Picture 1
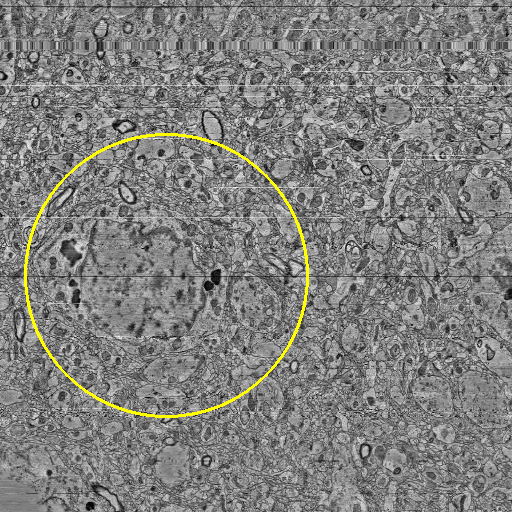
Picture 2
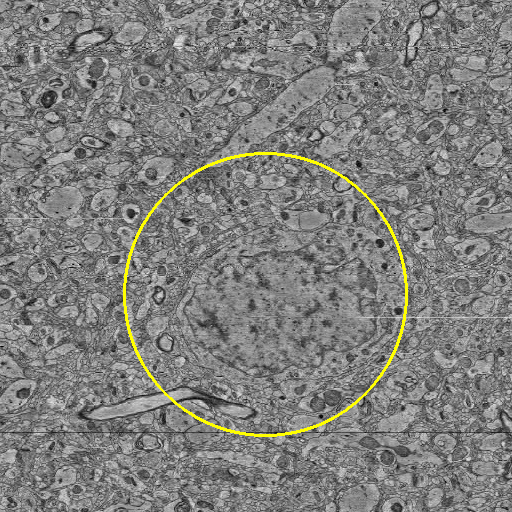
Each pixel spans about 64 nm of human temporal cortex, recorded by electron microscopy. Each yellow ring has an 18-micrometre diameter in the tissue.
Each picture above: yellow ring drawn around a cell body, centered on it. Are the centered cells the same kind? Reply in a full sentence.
Yes, the two cells are the same kind.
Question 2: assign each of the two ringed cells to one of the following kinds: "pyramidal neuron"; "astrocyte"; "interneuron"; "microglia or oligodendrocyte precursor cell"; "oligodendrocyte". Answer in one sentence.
Both rings mark an interneuron, one in each picture.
